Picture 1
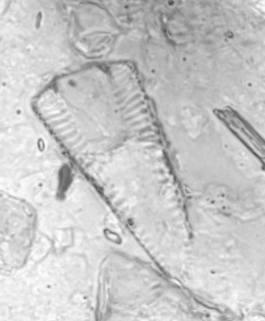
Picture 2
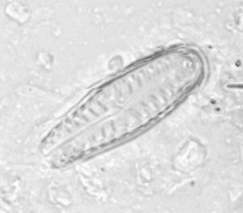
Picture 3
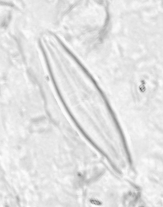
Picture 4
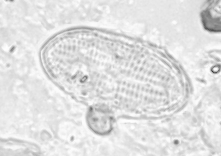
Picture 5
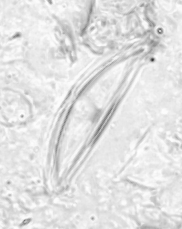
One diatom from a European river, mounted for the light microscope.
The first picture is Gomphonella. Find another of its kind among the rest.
Picture 2.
